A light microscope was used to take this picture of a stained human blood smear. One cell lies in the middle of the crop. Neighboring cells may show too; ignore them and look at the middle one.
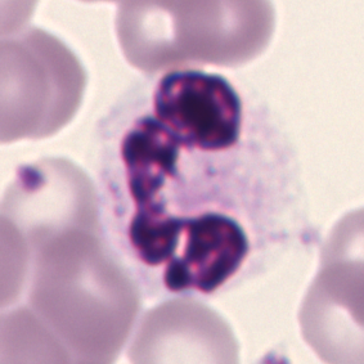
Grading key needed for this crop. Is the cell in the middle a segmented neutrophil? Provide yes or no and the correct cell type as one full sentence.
Yes, placed in the middle of the crop is a segmented neutrophil.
